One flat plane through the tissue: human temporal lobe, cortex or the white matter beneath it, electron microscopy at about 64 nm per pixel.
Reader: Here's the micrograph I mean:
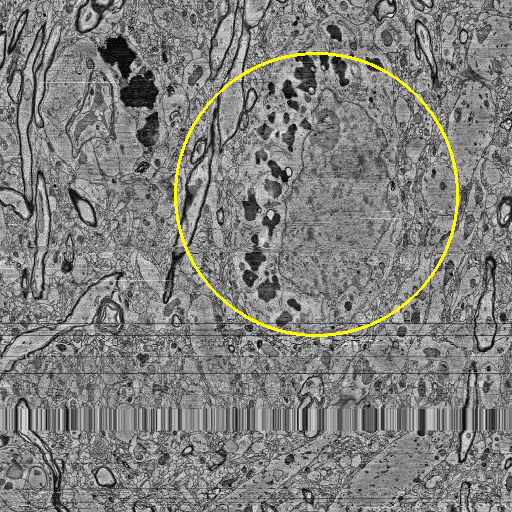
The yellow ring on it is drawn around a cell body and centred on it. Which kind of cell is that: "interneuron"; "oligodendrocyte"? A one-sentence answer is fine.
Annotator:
The ring is centred on an interneuron.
